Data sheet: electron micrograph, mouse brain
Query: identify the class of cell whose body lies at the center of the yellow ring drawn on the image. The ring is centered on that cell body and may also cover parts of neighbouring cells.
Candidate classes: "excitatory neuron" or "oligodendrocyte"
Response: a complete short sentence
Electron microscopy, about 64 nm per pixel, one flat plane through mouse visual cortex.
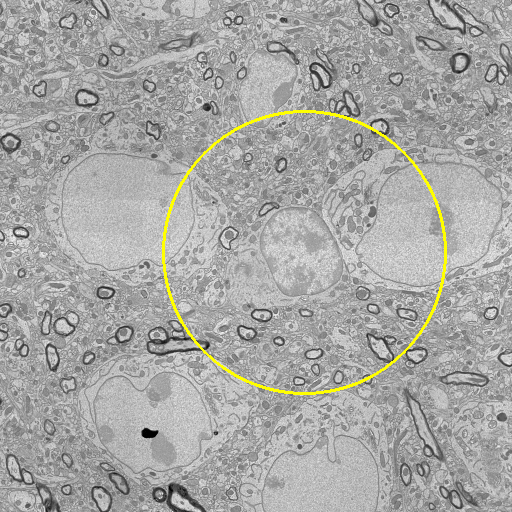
At the center of the ring lies an oligodendrocyte.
